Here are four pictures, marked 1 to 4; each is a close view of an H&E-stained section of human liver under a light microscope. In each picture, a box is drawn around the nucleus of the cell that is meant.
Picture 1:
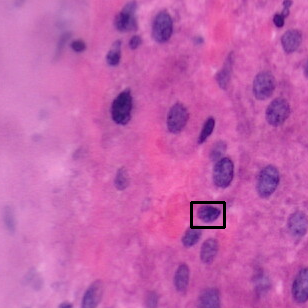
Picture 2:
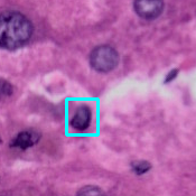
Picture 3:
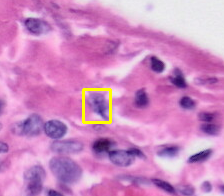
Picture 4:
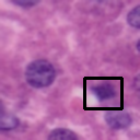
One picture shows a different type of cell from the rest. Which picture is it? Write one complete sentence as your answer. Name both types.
All pictures except 4 show “fibroblasts or stellate cells”; picture 4 shows an endothelial cell.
